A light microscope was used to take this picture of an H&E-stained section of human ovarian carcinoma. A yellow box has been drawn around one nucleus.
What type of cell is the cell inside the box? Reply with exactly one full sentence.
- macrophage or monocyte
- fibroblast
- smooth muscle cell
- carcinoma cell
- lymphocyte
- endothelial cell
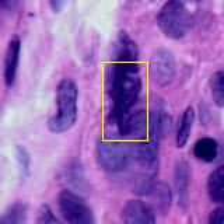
As a matter of cell type, the cell inside the box is a carcinoma cell.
